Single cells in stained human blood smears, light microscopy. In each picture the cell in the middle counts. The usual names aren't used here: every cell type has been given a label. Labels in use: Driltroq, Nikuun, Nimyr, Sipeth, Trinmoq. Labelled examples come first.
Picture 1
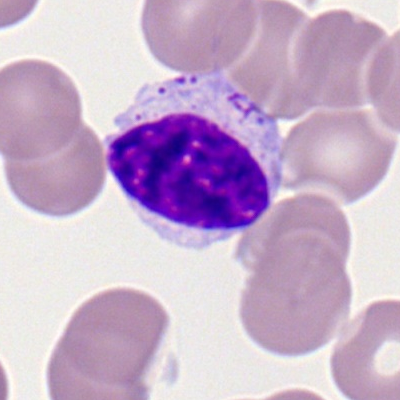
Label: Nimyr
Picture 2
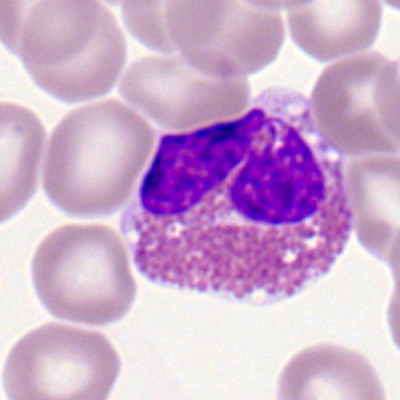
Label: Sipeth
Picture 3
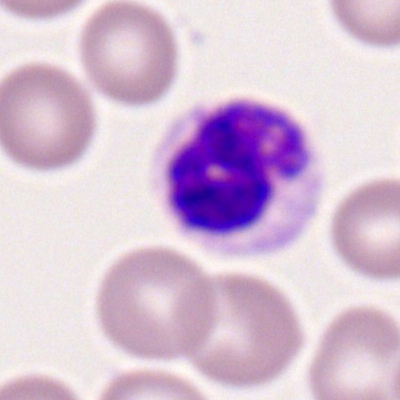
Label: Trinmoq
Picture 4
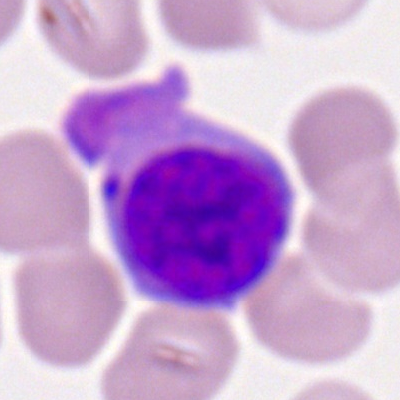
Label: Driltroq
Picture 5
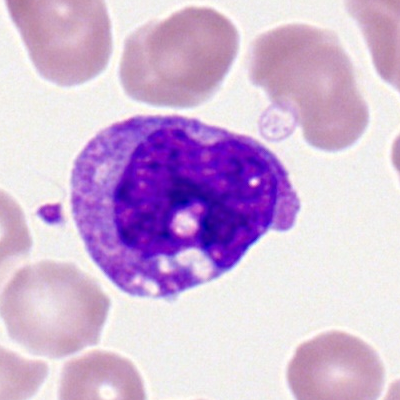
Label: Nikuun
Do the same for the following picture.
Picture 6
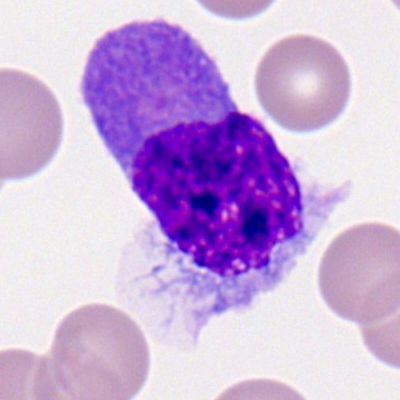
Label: Nikuun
